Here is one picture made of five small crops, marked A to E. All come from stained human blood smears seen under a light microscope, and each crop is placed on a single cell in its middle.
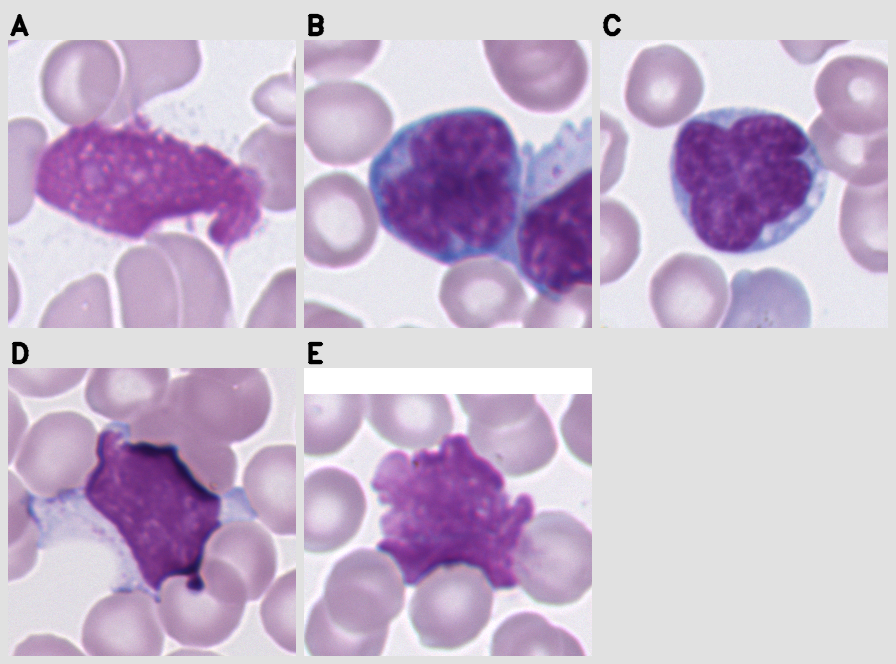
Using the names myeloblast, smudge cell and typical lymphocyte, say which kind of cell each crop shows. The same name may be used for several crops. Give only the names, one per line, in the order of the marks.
smudge cell
myeloblast
myeloblast
typical lymphocyte
smudge cell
